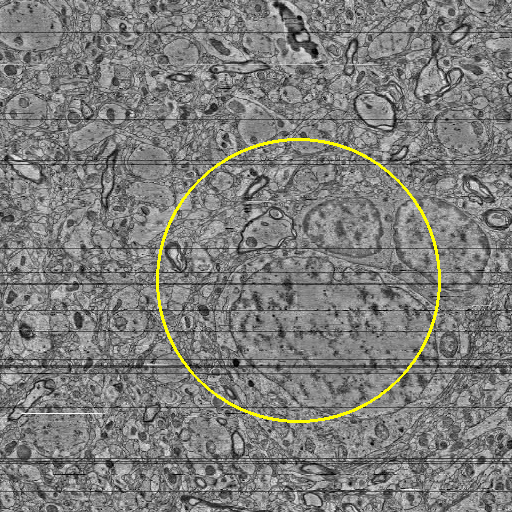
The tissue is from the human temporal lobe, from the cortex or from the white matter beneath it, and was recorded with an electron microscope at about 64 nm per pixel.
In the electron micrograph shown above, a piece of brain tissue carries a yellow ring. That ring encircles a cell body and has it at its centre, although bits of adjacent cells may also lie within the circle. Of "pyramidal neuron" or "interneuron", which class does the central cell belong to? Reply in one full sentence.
The cell body at the centre of the yellow ring belongs to a pyramidal neuron.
